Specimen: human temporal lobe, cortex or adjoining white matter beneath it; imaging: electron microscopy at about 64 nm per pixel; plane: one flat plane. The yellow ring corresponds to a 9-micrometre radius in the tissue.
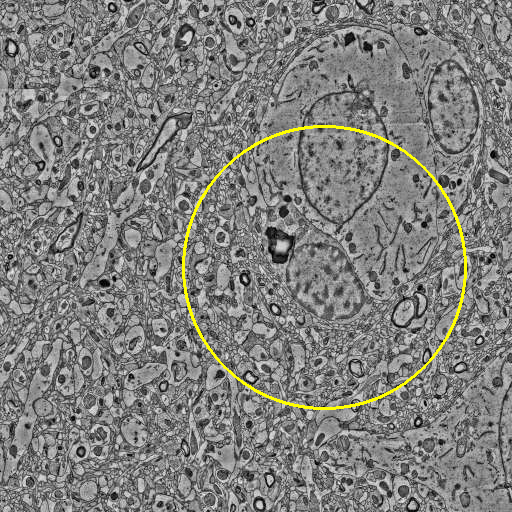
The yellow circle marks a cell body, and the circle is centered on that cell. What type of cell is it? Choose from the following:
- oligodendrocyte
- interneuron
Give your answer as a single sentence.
This cell body belongs to an oligodendrocyte.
